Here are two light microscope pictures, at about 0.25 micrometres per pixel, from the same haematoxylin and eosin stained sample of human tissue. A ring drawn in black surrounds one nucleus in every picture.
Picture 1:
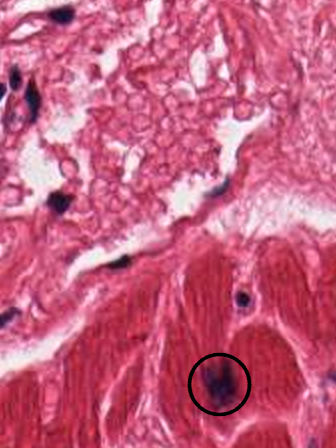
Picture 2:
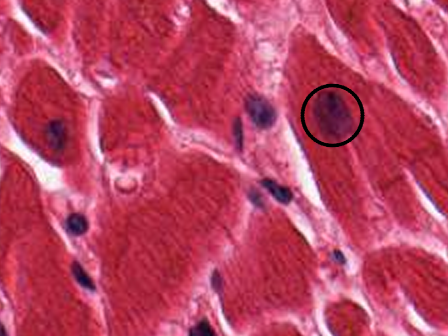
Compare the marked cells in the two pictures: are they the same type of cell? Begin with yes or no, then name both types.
Yes, both are cardiomyocytes.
